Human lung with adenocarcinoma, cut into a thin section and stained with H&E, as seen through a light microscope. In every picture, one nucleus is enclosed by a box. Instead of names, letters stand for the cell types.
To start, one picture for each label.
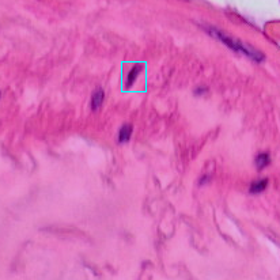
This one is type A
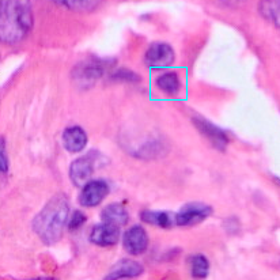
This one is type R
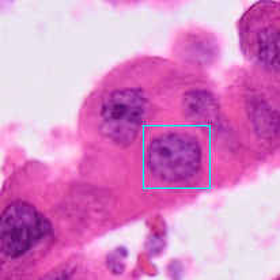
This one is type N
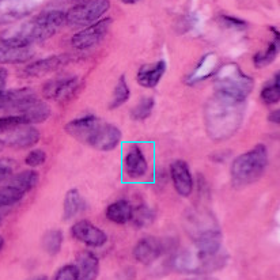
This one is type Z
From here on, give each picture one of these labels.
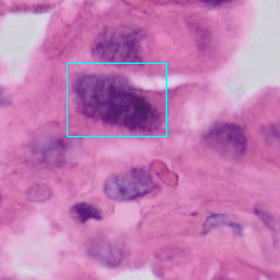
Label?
type N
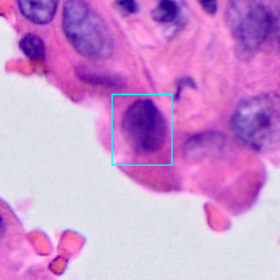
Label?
type N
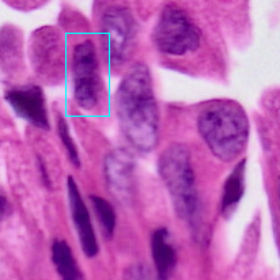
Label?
type N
